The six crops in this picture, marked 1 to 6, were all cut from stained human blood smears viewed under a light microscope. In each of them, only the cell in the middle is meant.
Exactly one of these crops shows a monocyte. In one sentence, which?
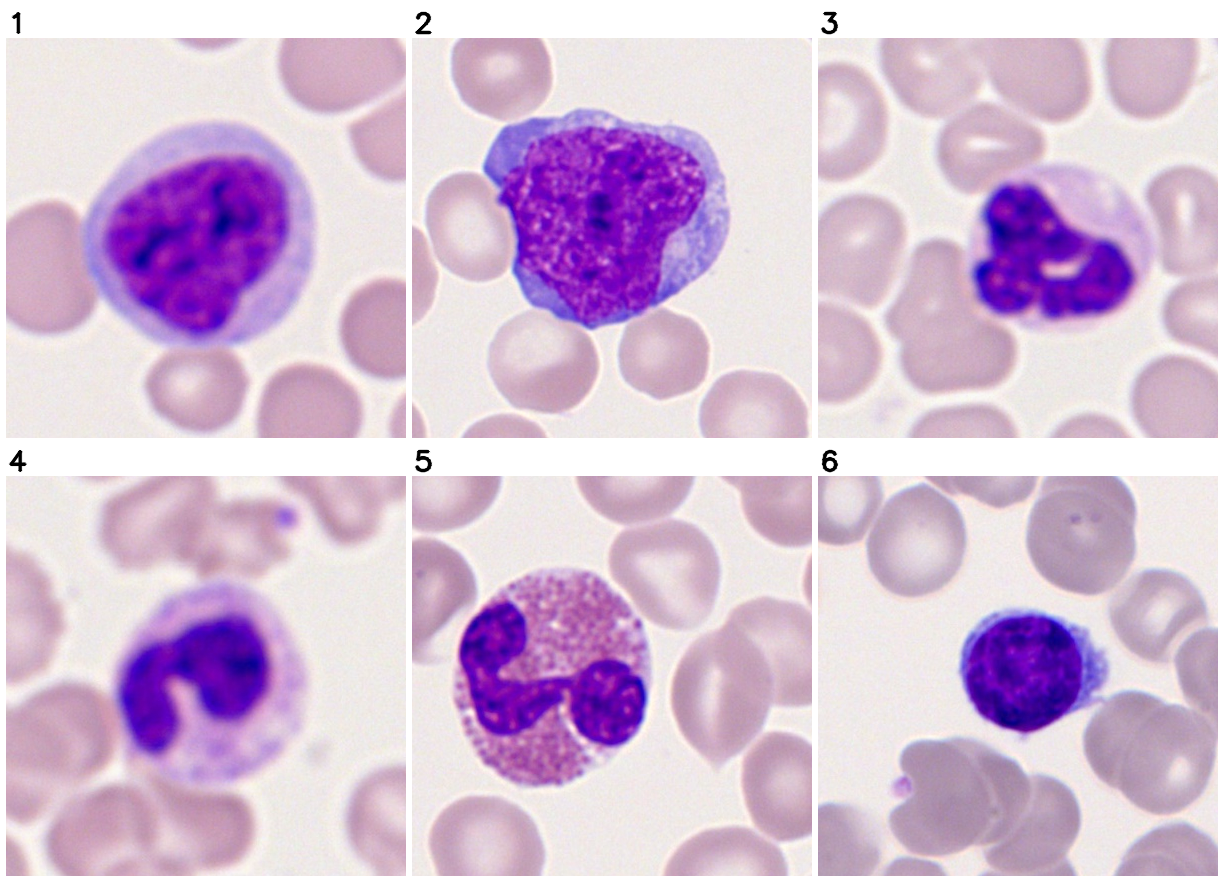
The crop that has a monocyte in the middle is crop 1.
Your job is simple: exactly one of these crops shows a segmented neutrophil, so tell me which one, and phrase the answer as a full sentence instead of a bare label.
Only in crop 3 is a segmented neutrophil shown.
